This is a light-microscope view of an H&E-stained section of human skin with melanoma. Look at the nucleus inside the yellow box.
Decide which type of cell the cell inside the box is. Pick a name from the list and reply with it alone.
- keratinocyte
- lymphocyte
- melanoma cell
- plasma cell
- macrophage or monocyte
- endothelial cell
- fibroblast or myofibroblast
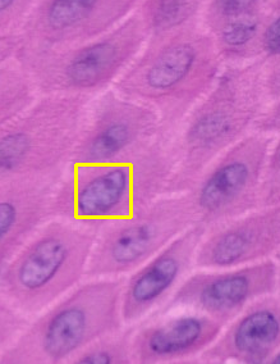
keratinocyte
